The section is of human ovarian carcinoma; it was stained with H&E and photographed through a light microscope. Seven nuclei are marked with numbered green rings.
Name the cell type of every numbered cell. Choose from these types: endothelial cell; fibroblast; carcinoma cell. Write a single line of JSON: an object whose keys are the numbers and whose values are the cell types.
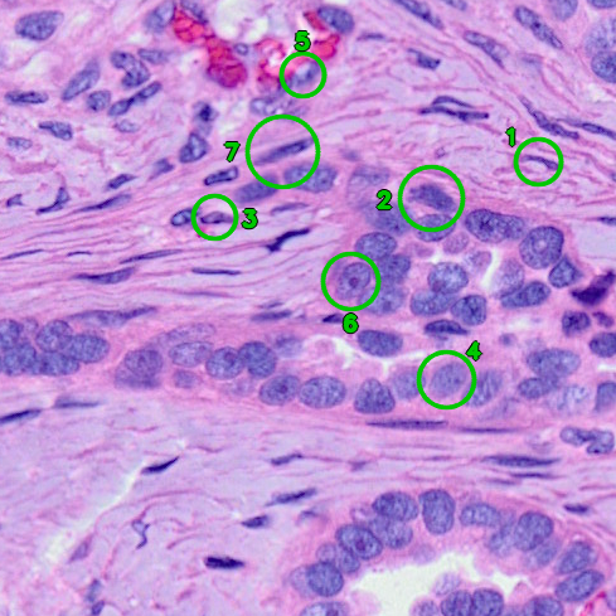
{"1": "fibroblast", "2": "carcinoma cell", "3": "fibroblast", "4": "carcinoma cell", "5": "endothelial cell", "6": "carcinoma cell", "7": "fibroblast"}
